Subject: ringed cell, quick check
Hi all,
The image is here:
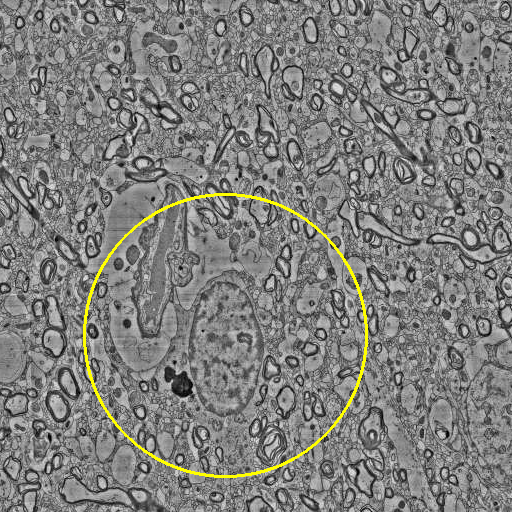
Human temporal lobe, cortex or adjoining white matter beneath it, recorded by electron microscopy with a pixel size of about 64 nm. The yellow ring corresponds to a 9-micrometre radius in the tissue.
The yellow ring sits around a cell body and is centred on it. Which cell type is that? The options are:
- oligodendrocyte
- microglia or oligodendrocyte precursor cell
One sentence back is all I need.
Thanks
That ringed cell is an oligodendrocyte.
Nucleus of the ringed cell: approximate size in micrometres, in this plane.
Approximately 7 x 5 micrometres in this plane.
